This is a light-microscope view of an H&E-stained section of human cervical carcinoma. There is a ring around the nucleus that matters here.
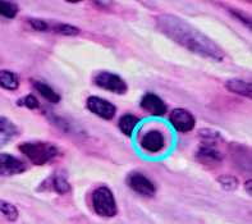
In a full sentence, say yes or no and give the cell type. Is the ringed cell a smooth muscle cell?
No, the ringed cell is a lymphocyte; calling it a smooth muscle cell would be wrong.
